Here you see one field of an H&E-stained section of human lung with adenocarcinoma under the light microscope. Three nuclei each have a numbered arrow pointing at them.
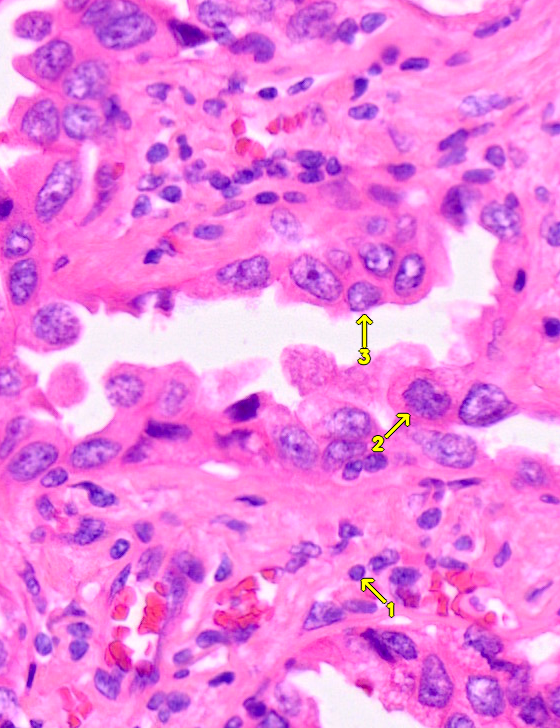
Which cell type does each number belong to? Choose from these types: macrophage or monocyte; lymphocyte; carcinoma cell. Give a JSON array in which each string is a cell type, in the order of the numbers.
["lymphocyte", "carcinoma cell", "carcinoma cell"]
